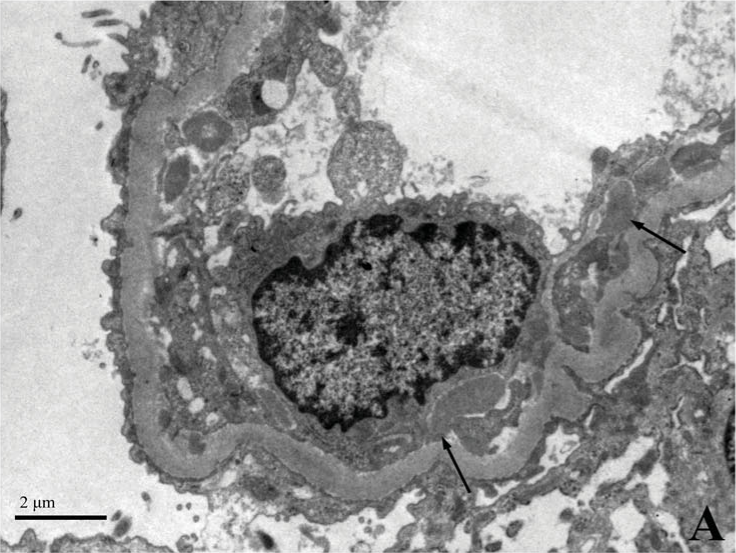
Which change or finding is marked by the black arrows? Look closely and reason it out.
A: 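The arrows point to darker, lumpy material set against the thick grey curved wall. The dark material lies on the inner side of the wall, toward the cell that has the large nucleus.
Hence: Subendothelial electron-dense deposits.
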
